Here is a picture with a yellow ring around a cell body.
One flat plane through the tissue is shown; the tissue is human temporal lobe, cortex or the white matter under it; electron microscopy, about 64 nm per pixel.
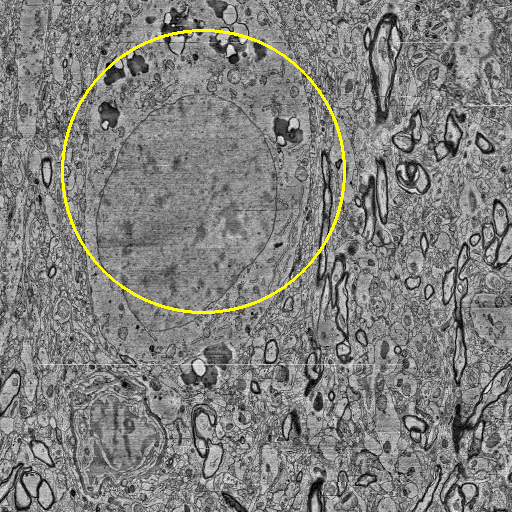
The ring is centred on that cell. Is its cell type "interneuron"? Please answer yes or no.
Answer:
no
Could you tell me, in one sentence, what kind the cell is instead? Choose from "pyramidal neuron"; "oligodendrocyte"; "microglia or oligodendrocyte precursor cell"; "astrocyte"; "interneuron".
Instead, the ring surrounds a pyramidal neuron in this picture.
